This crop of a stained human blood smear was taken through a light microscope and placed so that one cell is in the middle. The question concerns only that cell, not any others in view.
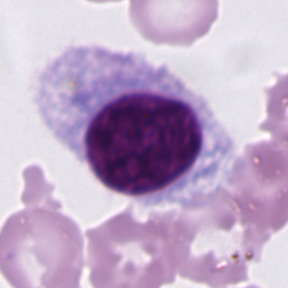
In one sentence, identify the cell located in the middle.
By classification, the middle cell of this crop is a hairy cell.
